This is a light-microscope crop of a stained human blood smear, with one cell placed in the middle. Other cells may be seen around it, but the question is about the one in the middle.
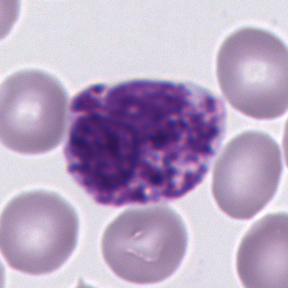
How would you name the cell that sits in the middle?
basophil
